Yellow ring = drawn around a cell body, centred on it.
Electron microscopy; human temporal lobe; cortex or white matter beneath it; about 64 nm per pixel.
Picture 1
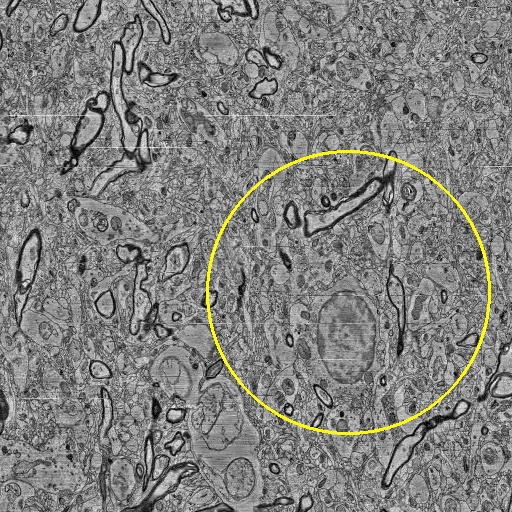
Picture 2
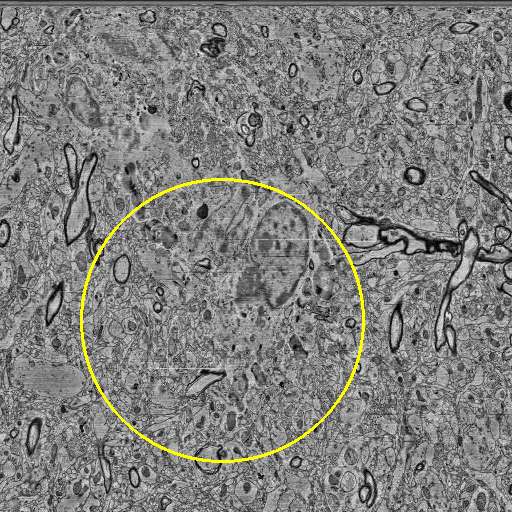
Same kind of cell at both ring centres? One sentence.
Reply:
No, they are two kinds of cell.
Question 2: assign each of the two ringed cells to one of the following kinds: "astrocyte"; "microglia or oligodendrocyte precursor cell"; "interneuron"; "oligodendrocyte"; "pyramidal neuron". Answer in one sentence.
The two cells are an oligodendrocyte in the first picture and a microglial cell or oligodendrocyte precursor cell in the second.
